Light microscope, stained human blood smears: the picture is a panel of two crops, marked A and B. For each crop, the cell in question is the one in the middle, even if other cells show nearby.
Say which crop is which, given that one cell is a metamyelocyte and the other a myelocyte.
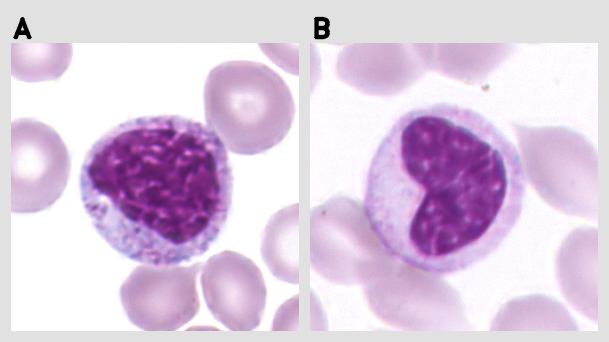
A: myelocyte
B: metamyelocyte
